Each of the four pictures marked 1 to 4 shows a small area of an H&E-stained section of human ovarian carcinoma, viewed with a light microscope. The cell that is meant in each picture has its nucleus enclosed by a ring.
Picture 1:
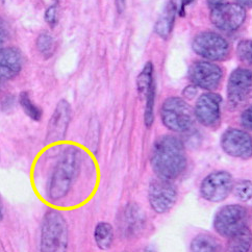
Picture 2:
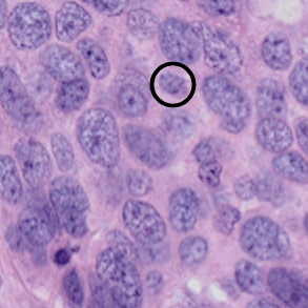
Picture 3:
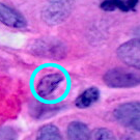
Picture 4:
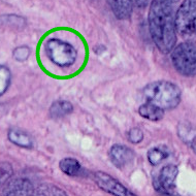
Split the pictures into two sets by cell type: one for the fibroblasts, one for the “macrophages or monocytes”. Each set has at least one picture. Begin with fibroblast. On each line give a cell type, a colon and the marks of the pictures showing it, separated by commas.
fibroblast: 1, 4
macrophage or monocyte: 2, 3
